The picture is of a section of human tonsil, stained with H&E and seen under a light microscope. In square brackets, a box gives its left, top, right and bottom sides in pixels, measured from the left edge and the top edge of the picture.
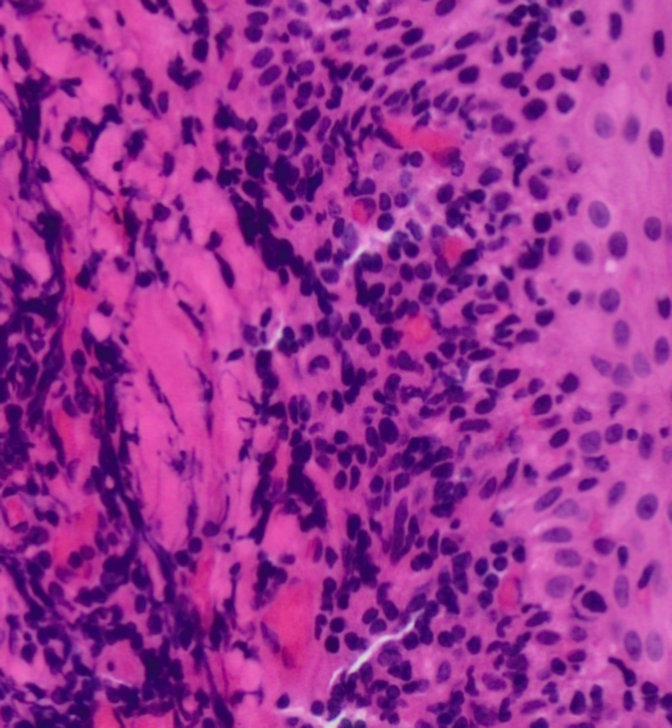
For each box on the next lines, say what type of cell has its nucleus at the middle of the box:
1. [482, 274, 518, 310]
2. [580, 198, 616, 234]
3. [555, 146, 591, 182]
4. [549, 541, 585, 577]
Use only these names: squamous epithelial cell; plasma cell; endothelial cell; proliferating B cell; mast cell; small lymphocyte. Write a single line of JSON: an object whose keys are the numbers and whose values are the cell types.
{"1": "plasma cell", "2": "squamous epithelial cell", "3": "squamous epithelial cell", "4": "squamous epithelial cell"}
